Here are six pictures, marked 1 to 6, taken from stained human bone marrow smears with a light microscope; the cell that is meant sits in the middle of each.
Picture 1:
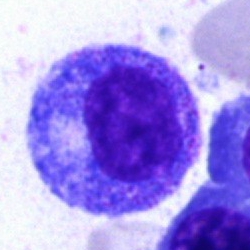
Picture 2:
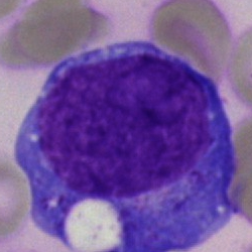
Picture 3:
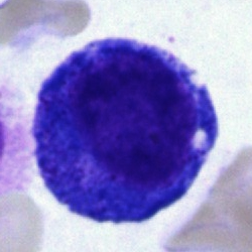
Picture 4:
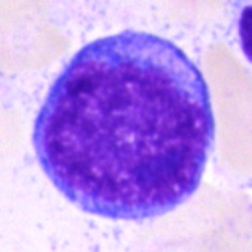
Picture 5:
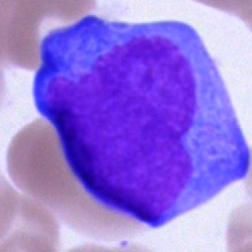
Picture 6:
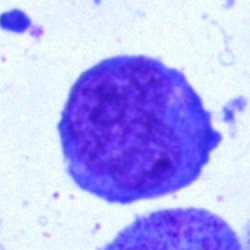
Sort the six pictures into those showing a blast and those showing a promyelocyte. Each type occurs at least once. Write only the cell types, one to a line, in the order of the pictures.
promyelocyte
blast
promyelocyte
blast
blast
blast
